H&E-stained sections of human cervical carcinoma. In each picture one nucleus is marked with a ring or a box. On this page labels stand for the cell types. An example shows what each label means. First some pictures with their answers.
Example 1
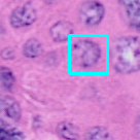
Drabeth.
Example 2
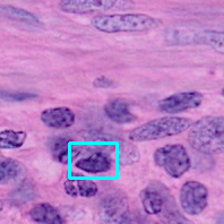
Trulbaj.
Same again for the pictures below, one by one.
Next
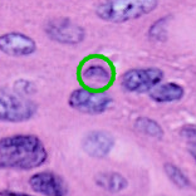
Drabeth.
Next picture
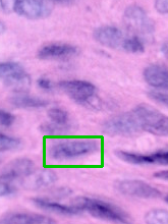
Drabeth.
